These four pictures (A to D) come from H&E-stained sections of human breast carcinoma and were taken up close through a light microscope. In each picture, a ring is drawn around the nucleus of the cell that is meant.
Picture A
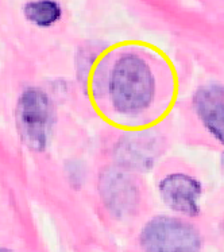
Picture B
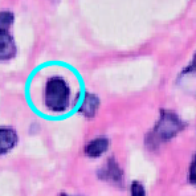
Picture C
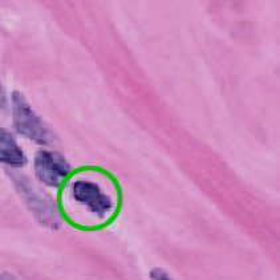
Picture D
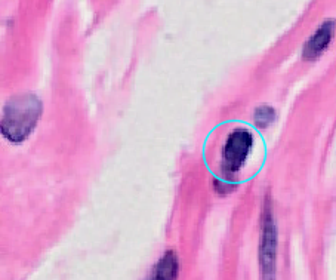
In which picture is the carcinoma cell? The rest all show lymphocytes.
A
